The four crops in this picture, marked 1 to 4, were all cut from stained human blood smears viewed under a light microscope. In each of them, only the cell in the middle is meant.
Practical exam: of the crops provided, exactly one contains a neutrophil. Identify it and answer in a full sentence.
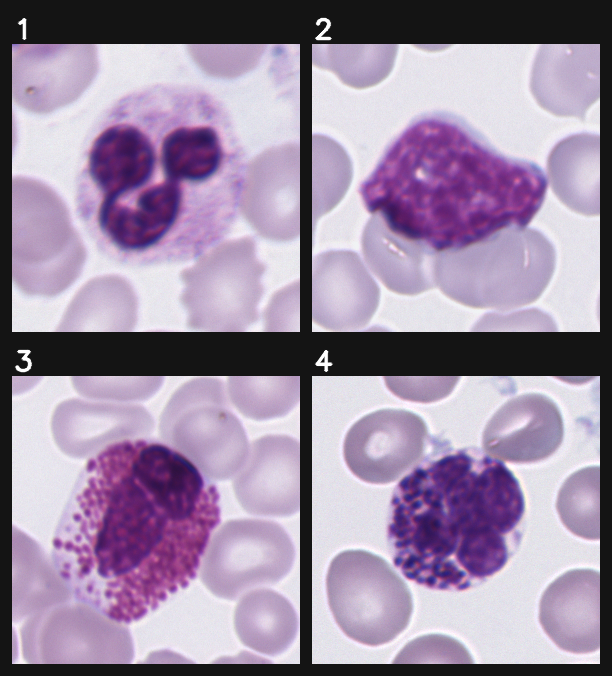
Crop 1 represents a neutrophil, while the other crops do not.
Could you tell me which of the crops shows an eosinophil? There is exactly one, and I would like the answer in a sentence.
The crop bearing an eosinophil is crop 3.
